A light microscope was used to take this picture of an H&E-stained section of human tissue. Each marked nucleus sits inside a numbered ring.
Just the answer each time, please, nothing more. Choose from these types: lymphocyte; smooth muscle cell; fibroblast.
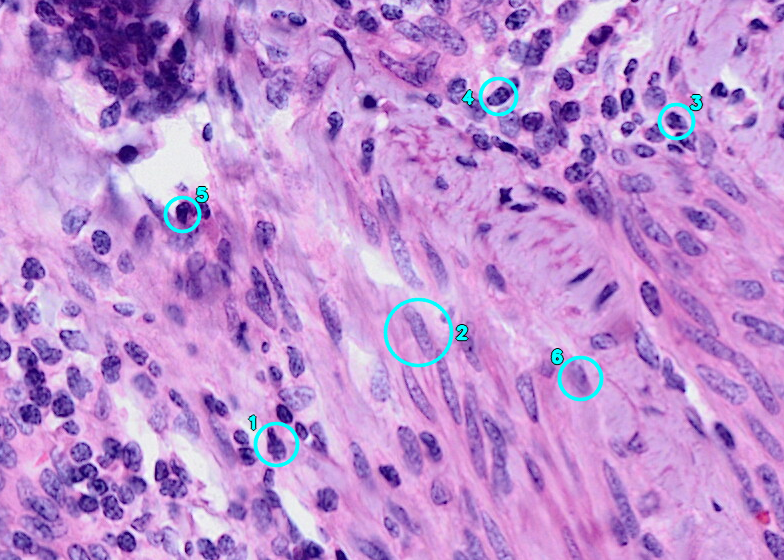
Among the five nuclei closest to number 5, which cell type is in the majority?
fibroblast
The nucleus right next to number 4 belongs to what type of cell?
lymphocyte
